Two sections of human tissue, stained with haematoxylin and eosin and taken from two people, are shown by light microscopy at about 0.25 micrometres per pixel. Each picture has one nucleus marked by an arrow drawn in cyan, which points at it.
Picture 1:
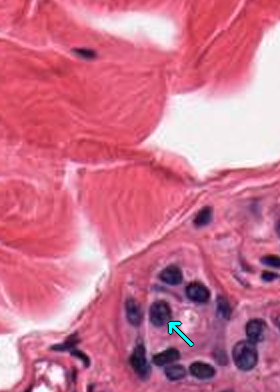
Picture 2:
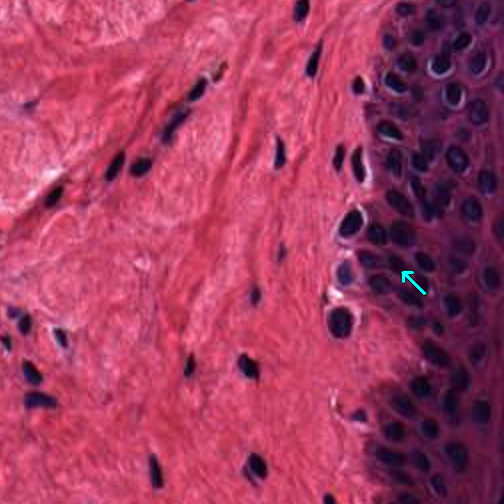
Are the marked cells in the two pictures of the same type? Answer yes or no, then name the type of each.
No, the first is a sweat gland cell and the second a keratinocyte.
